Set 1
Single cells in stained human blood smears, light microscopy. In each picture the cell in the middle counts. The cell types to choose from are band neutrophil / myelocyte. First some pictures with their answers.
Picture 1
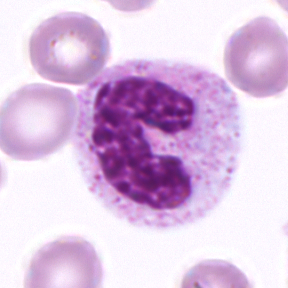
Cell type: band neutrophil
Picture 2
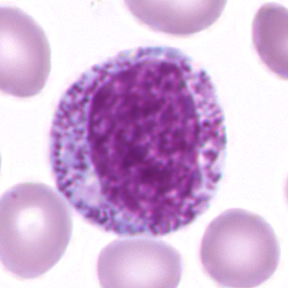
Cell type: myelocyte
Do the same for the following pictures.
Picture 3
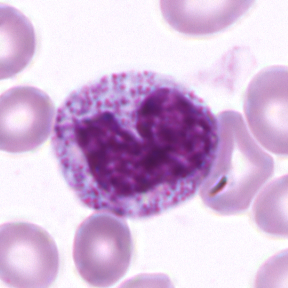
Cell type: band neutrophil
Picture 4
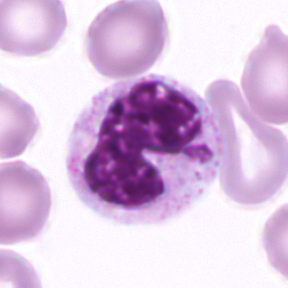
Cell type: band neutrophil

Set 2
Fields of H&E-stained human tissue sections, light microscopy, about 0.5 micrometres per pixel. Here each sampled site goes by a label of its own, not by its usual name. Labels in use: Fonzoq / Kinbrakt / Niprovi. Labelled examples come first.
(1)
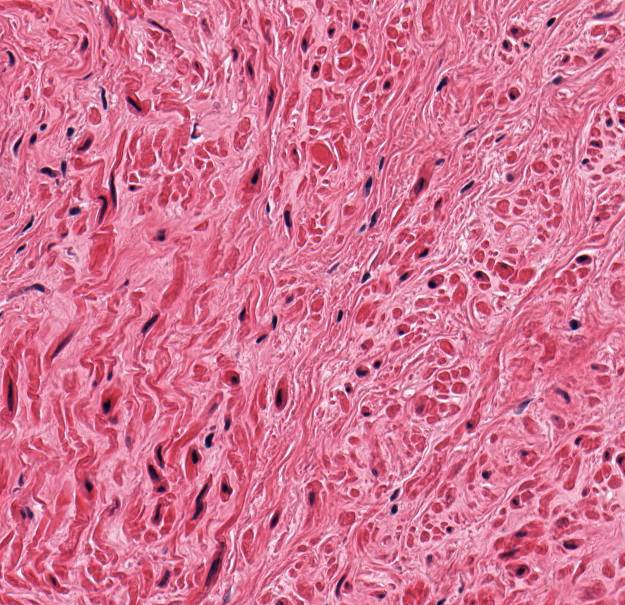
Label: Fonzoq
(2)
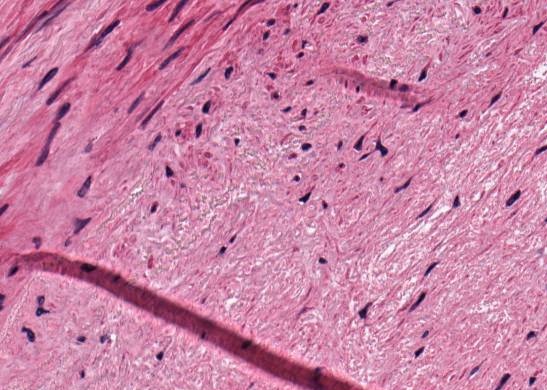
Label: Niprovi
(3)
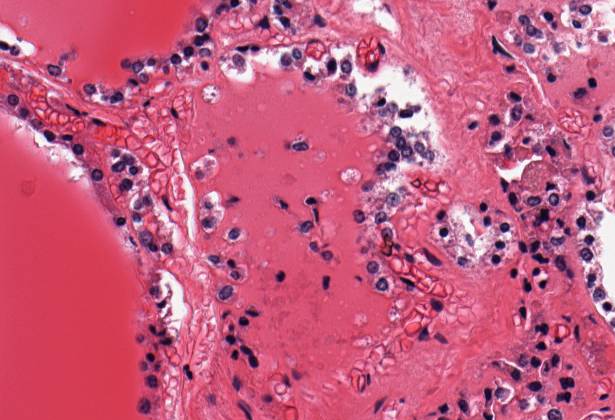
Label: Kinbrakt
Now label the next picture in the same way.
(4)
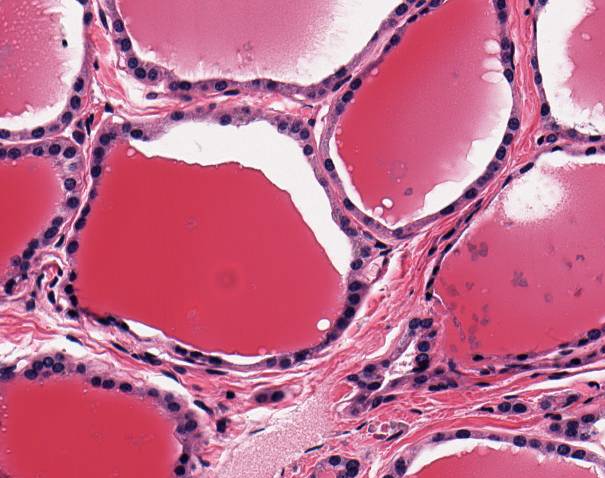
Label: Kinbrakt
